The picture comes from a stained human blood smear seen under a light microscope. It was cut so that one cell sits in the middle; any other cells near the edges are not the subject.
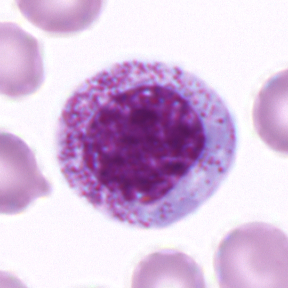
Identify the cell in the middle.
myelocyte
